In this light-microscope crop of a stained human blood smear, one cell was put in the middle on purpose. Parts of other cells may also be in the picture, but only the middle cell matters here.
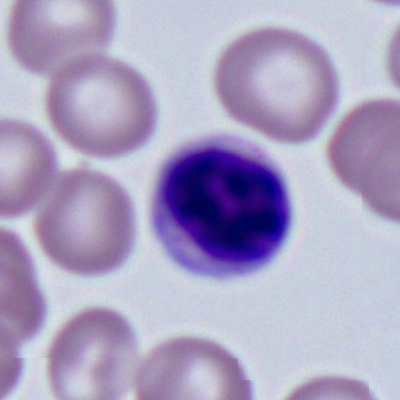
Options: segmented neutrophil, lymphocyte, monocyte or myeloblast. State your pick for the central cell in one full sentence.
In short, the cell at the center is a lymphocyte.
